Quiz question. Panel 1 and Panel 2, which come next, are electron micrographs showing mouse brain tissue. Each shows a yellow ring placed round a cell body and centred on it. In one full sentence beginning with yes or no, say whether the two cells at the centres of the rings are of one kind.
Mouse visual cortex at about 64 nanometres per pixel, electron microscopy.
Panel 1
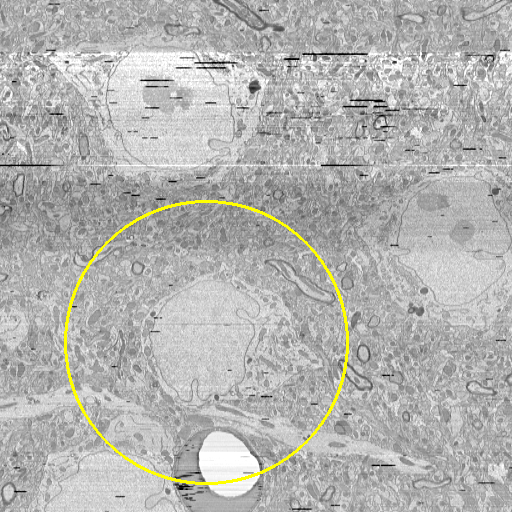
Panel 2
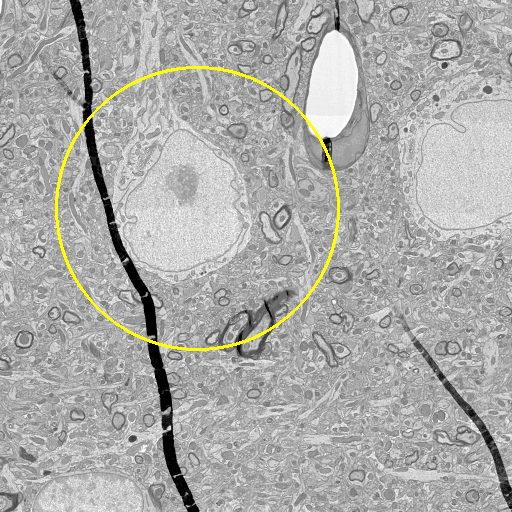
Yes, Panel 1 and Panel 2 show one kind of cell at the centre of the ring.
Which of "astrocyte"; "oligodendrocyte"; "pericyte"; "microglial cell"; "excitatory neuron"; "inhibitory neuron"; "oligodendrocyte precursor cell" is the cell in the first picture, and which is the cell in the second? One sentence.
In each picture the ringed cell is an inhibitory neuron.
